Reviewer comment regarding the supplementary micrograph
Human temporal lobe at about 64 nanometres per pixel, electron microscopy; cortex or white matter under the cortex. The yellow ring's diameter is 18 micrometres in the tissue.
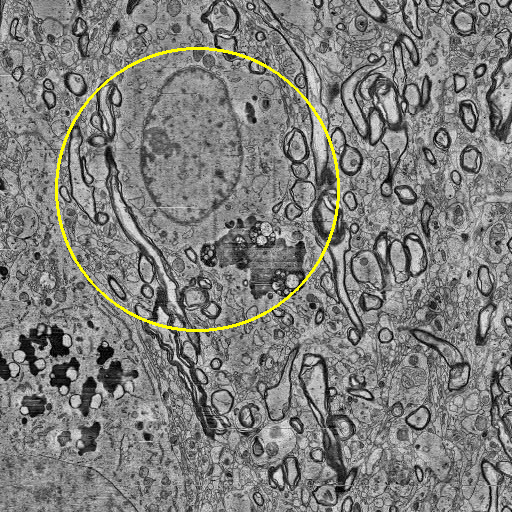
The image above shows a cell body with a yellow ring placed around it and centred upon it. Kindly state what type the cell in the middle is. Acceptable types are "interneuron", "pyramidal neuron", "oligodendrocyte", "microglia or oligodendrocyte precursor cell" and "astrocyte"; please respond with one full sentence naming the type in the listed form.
In the image above, the cell on which the yellow ring is centred is an astrocyte.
